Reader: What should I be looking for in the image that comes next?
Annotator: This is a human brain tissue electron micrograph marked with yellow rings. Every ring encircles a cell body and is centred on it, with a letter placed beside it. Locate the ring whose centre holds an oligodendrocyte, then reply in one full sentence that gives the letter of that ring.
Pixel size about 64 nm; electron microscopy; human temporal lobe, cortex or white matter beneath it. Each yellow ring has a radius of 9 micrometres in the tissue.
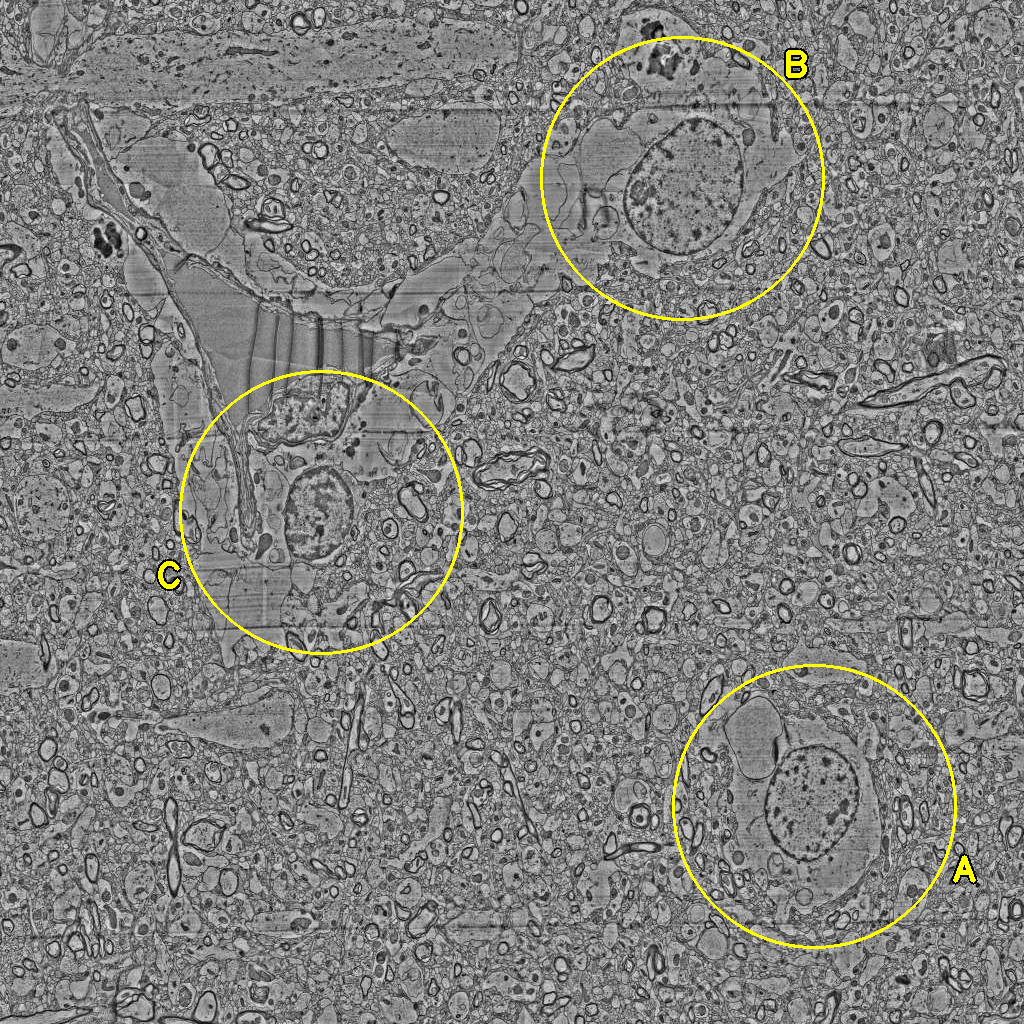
The ring centred on the cell asked for is the one labelled C.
